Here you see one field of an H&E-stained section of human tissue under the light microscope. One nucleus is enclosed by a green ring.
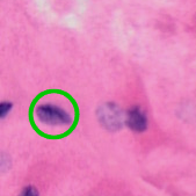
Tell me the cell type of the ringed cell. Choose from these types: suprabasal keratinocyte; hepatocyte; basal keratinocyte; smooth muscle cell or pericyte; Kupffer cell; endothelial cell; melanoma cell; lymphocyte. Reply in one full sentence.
It is as an endothelial cell that the ringed cell is classified.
